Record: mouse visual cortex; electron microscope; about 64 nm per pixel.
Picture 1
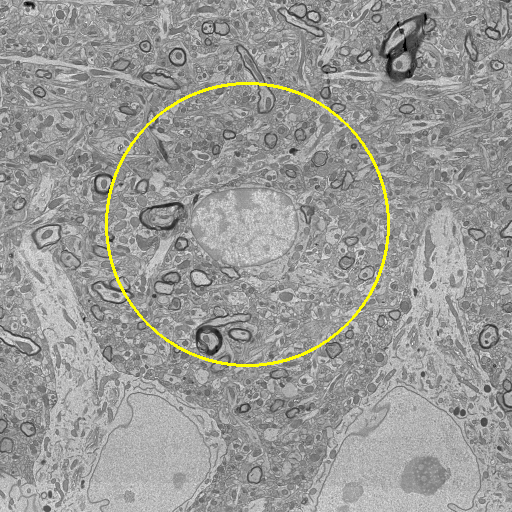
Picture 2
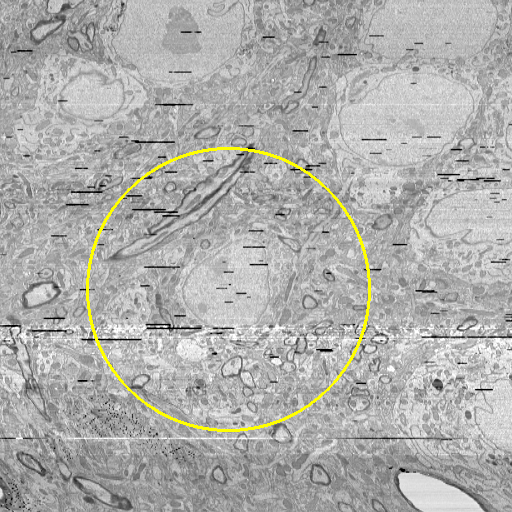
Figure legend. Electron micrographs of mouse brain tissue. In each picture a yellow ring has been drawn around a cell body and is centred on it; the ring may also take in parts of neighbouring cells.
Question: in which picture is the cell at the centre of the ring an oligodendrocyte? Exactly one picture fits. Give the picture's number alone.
1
